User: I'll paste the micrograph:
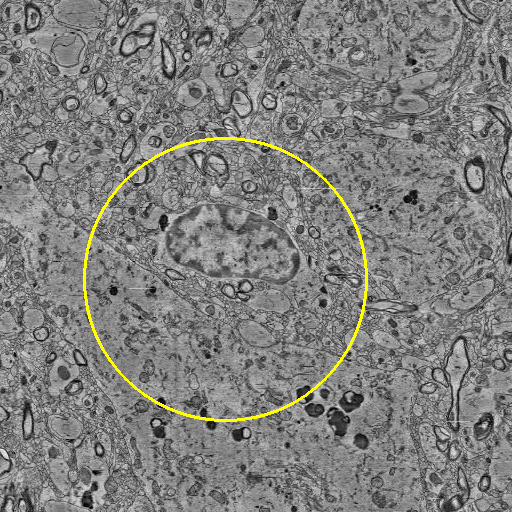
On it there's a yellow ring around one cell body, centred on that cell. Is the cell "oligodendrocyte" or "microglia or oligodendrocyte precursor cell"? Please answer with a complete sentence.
The cell ringed in yellow is a microglial cell or oligodendrocyte precursor cell.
